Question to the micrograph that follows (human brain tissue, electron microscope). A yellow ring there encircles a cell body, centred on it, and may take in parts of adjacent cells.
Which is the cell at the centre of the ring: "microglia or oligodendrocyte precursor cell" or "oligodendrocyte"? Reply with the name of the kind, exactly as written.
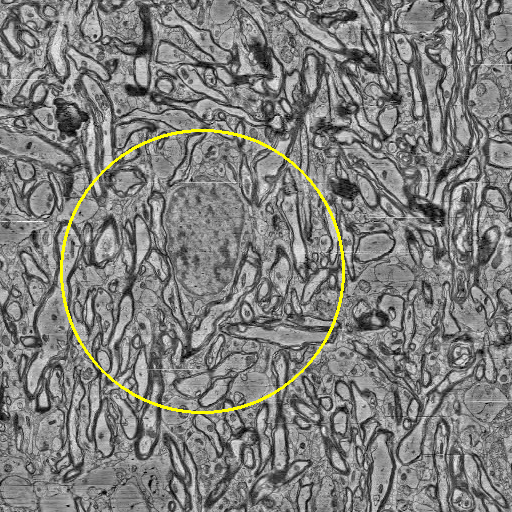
oligodendrocyte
